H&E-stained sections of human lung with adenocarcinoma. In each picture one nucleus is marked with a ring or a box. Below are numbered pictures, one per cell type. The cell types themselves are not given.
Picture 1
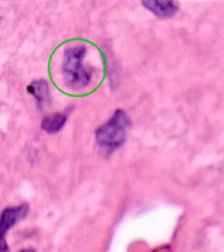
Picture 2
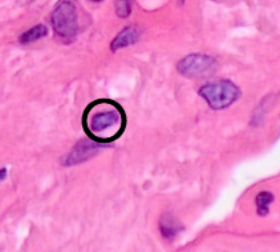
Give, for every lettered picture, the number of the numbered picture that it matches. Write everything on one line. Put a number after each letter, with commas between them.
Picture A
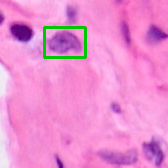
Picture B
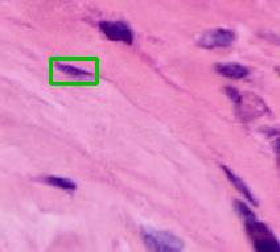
A 1, B 1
